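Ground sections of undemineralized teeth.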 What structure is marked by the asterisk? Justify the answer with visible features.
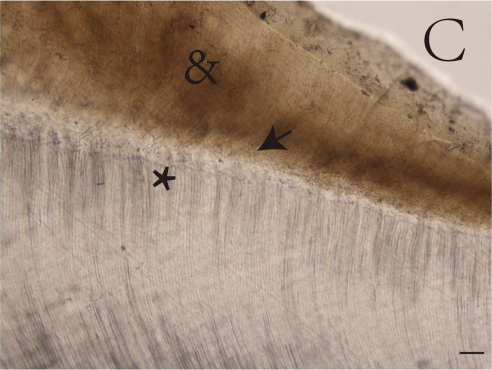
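Fine parallel grey-blue lines run downward from the boundary through the pale layer. The answer: Dentin tubules.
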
